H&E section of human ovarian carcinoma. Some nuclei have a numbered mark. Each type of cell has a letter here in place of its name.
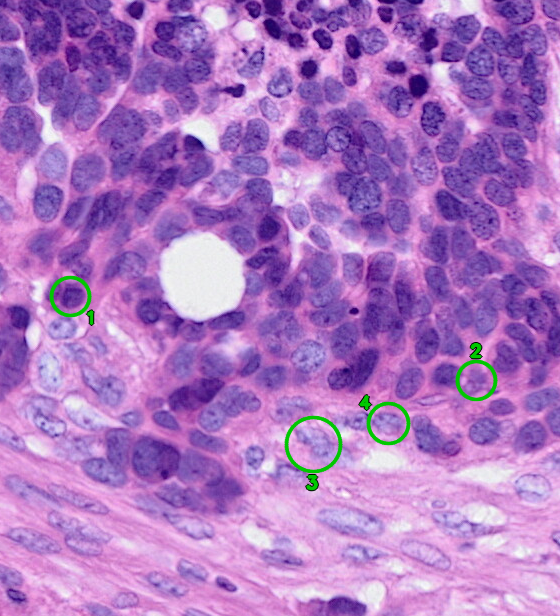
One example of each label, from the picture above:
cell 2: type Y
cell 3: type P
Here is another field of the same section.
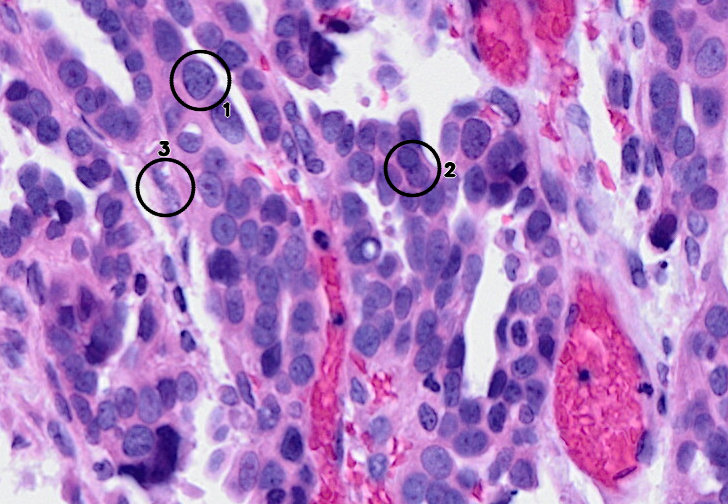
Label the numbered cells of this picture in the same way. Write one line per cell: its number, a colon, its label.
1: type Y
2: type Y
3: type P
